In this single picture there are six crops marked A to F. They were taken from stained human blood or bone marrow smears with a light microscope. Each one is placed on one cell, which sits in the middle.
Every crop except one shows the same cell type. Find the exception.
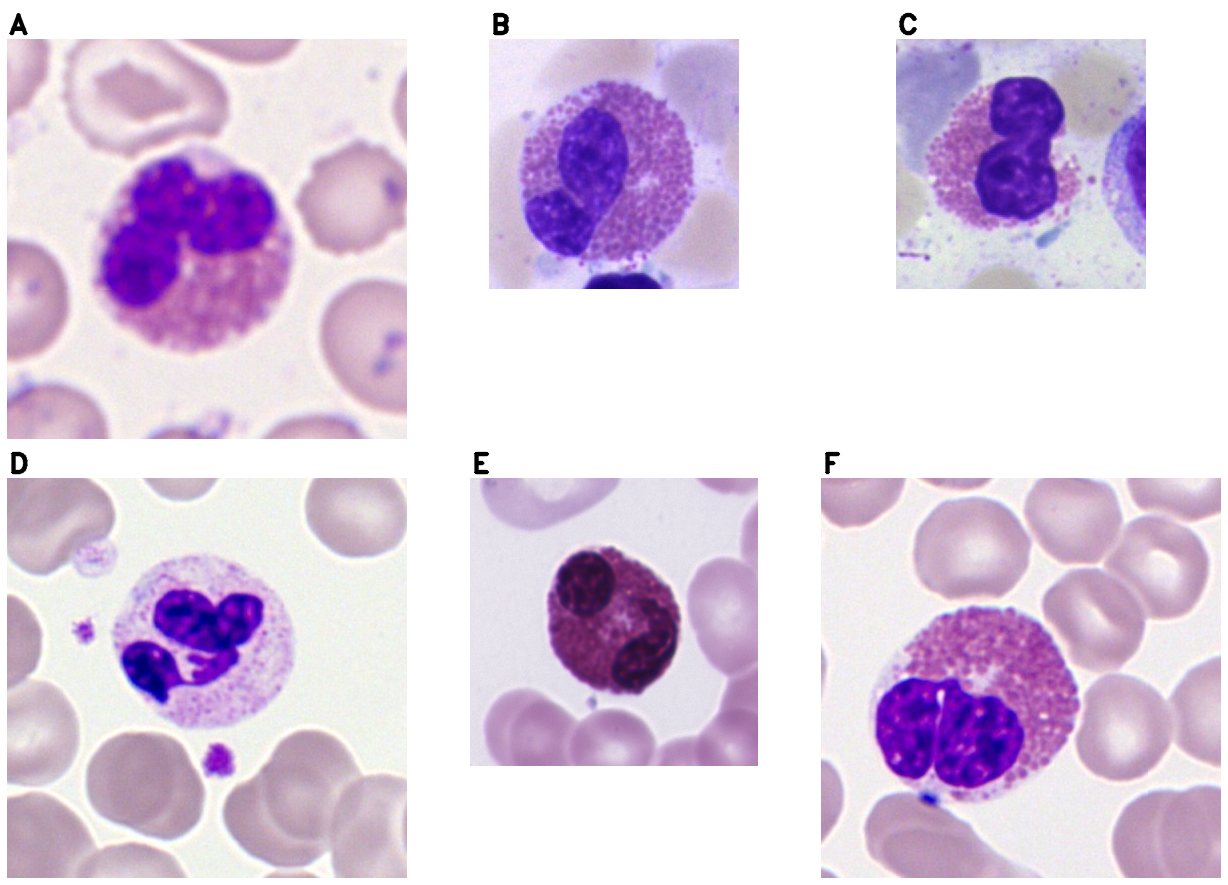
D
